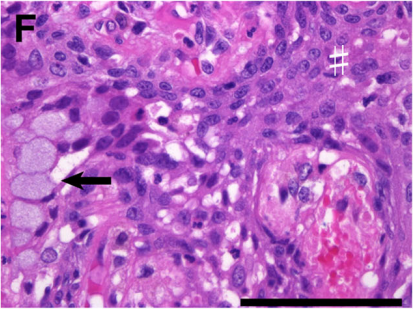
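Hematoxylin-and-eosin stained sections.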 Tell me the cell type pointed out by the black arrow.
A: Mucinous cells.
